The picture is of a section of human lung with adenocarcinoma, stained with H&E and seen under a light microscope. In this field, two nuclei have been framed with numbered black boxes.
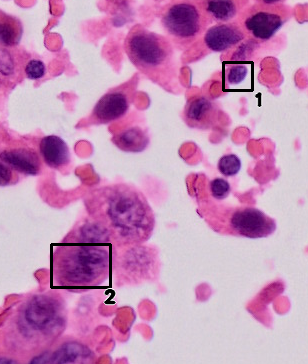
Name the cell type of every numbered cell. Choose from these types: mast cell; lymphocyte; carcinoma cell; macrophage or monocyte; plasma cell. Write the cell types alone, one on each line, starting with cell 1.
lymphocyte
carcinoma cell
